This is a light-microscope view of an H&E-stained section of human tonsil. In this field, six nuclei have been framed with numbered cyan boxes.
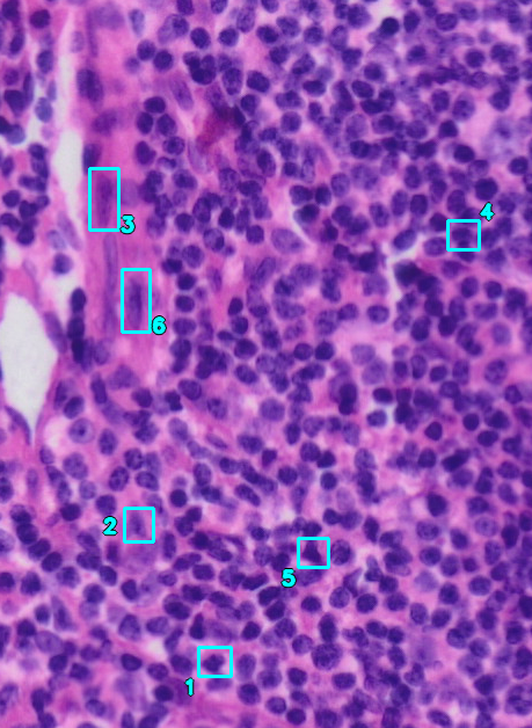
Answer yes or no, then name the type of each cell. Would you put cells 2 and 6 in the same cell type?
Yes, both cells, 2 and 6, are endothelial cells.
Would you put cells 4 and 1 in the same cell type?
Yes, the two numbered cells, 4 and 1, are both small lymphocytes.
